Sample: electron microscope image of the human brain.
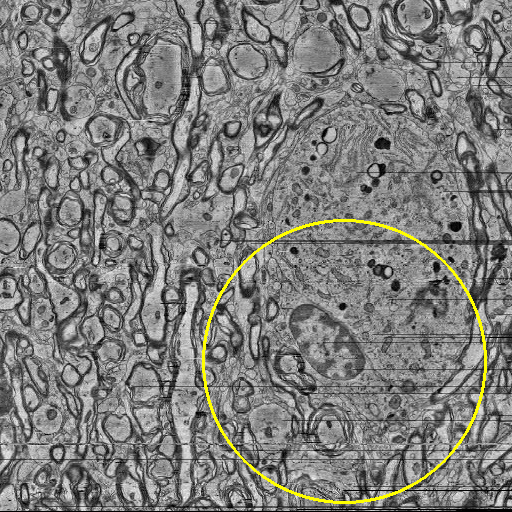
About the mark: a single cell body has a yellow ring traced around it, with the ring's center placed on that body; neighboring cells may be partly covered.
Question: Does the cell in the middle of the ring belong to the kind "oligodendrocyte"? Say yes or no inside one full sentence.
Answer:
No, the cell at the ring's center in this image belongs to a different kind.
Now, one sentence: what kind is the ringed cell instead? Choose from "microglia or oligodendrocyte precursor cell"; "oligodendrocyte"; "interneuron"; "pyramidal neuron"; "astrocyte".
The correct answer is that the cell is a microglial cell or oligodendrocyte precursor cell.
